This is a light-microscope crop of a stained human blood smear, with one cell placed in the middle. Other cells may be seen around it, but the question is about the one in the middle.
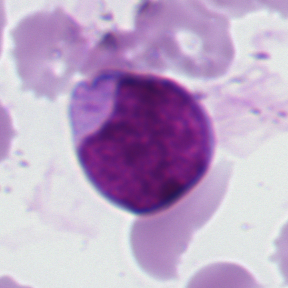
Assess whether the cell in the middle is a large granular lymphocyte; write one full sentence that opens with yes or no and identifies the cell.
No, the cell in the middle of the crop counts as a myeloblast and not as a large granular lymphocyte.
